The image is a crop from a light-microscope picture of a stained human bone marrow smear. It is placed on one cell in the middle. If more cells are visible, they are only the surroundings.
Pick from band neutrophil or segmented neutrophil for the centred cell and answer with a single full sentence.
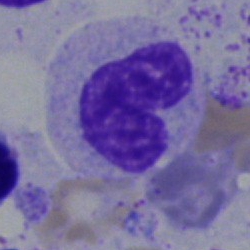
In the central position of this crop, the cell is a band neutrophil.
